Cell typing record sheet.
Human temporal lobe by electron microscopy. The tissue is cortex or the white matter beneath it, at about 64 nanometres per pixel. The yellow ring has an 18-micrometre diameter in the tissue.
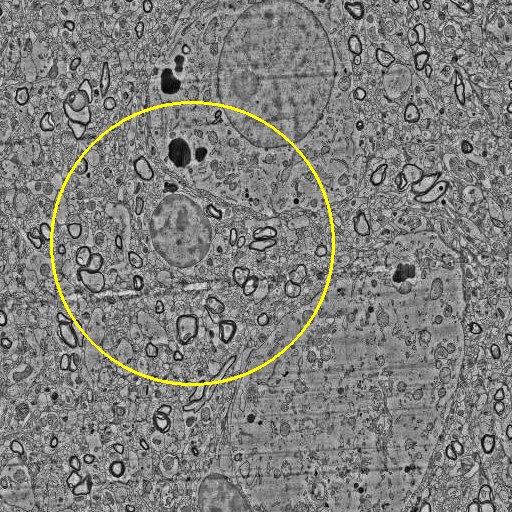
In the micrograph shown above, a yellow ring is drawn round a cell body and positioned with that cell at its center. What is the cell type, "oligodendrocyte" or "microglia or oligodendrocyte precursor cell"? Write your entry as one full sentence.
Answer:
The cell body at the center of the ring belongs to a microglial cell or oligodendrocyte precursor cell.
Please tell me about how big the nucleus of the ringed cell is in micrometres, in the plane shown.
The ringed cell's nucleus measures approximately 5 by 4 micrometres in this plane.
